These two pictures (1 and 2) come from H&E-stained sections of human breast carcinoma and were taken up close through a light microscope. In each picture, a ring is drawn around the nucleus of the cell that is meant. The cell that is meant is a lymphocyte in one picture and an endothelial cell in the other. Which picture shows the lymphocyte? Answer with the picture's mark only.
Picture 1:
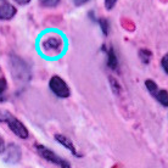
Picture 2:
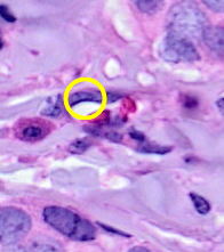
1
